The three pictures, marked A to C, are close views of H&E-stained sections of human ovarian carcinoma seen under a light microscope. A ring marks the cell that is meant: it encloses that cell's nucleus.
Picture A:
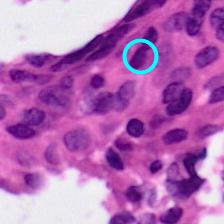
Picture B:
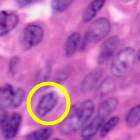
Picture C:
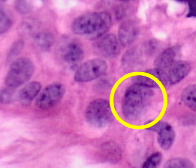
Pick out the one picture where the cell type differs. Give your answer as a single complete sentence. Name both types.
Picture B is the odd one out: it shows a “macrophage or monocyte”, while the others show carcinoma cells.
